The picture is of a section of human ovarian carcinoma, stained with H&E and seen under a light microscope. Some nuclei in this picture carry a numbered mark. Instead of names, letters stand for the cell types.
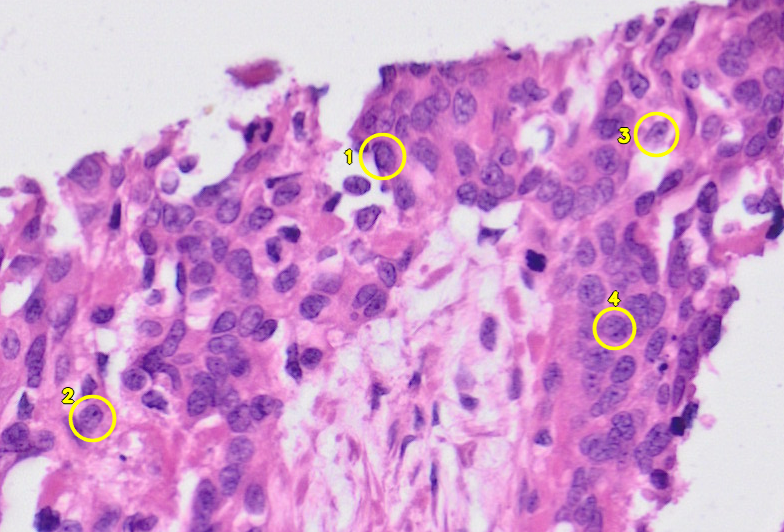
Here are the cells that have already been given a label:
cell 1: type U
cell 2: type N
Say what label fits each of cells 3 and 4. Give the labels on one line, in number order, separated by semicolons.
type N; type U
